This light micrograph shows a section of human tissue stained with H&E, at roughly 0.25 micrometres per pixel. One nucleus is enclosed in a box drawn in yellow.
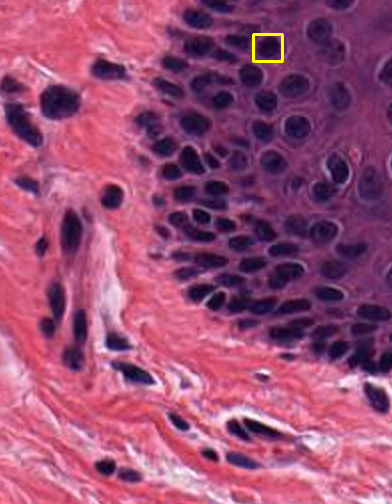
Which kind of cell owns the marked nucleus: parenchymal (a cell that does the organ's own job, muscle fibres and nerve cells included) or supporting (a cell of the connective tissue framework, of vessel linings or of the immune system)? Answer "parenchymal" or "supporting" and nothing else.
parenchymal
